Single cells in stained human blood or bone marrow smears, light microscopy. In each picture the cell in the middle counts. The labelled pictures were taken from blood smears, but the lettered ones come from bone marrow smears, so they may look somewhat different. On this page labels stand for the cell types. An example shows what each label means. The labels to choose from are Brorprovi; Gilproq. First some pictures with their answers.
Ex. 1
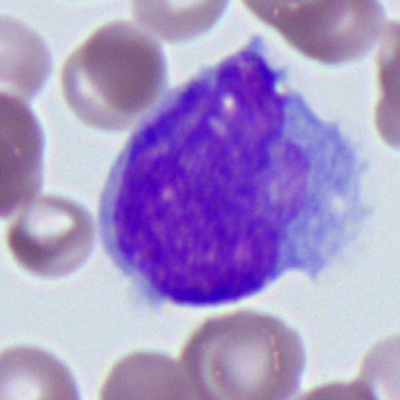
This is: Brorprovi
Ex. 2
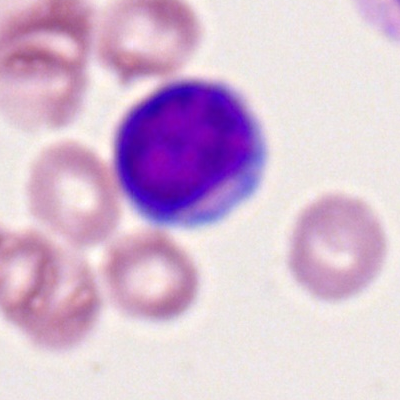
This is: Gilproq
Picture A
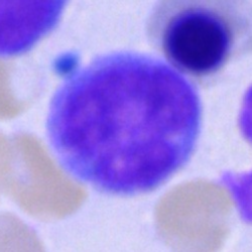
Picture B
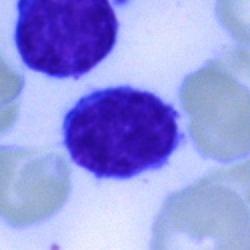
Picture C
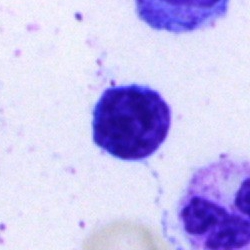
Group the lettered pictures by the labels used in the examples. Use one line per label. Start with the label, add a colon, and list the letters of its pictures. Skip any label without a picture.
Brorprovi: A
Gilproq: B, C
